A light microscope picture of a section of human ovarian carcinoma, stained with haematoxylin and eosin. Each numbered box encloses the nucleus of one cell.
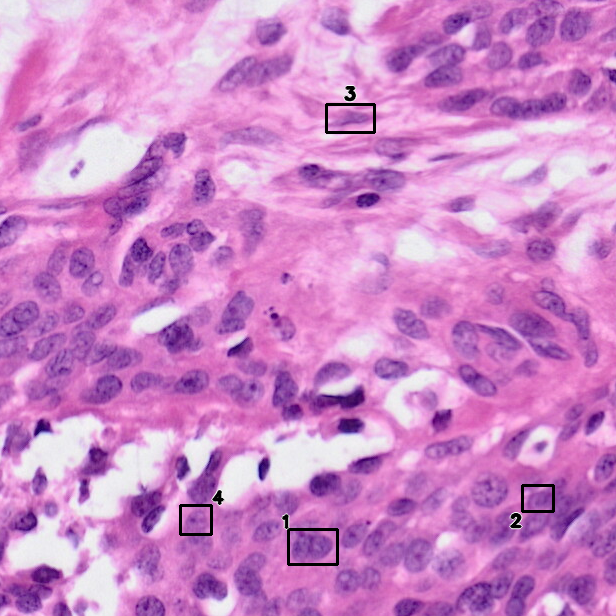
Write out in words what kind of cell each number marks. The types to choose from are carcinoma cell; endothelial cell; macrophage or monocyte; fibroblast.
Cells 1, 2 and 4 are carcinoma cells. Cell 3 is a fibroblast.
